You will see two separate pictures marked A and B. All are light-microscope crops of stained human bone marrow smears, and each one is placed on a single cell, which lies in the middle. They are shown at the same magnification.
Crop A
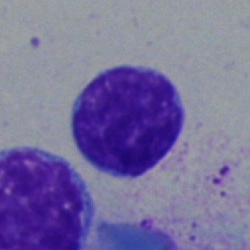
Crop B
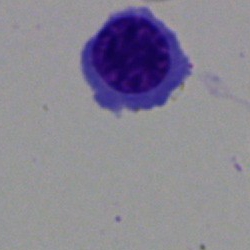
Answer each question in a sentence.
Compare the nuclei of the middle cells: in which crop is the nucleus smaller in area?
Smaller is the nucleus in crop B, and the other is about 2 times as large in area.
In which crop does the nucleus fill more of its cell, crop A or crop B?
In crop A the nucleus takes up the larger part of its cell.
